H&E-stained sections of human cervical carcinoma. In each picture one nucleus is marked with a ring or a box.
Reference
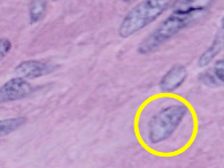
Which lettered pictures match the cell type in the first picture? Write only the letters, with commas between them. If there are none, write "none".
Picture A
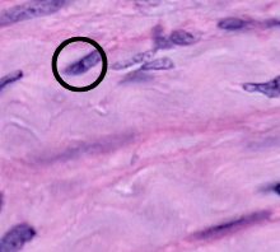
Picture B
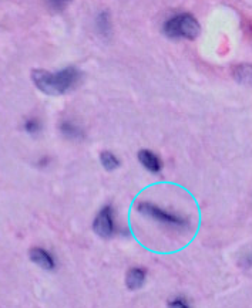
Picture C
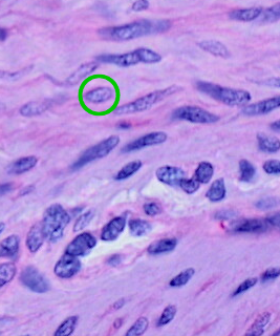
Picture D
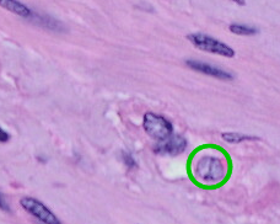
C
